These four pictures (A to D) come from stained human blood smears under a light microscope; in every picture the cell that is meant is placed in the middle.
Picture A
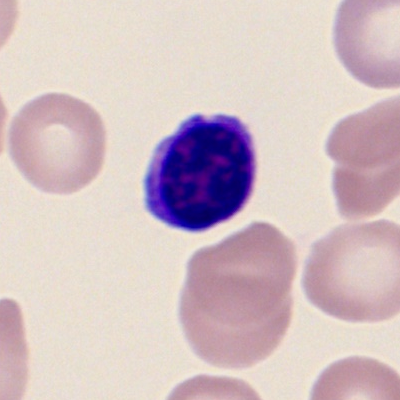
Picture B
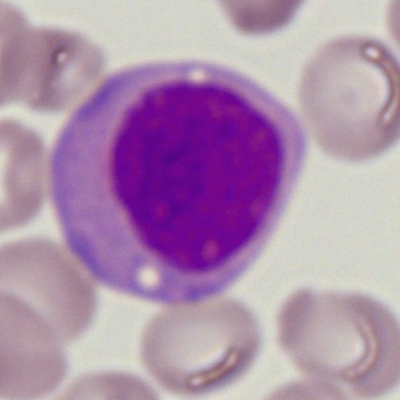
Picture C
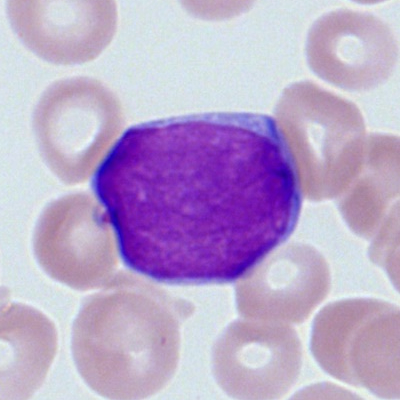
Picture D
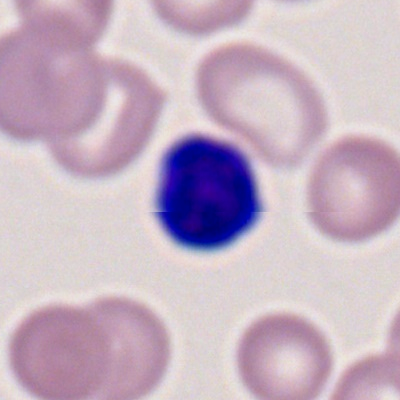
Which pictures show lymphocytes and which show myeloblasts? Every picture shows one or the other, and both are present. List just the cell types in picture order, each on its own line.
lymphocyte
myeloblast
myeloblast
lymphocyte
